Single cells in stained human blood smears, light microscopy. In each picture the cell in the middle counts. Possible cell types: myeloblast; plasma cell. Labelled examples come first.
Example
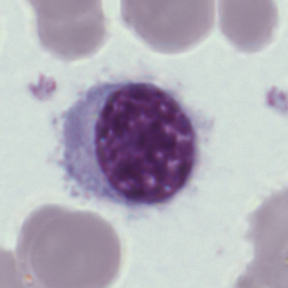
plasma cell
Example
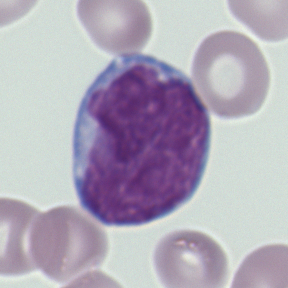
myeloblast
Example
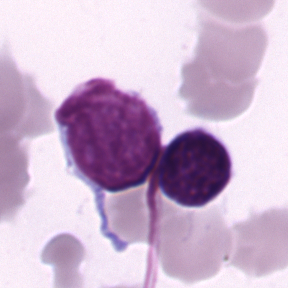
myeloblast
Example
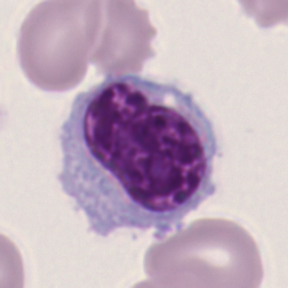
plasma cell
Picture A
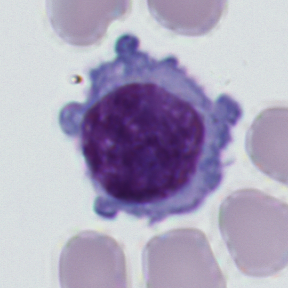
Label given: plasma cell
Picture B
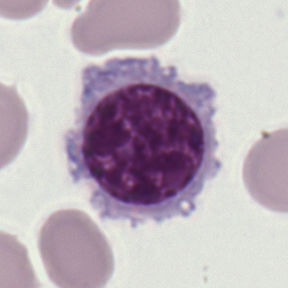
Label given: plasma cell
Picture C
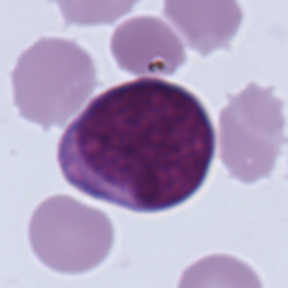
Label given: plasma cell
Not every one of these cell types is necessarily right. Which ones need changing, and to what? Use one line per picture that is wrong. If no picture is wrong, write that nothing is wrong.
C should be myeloblast, not plasma cell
